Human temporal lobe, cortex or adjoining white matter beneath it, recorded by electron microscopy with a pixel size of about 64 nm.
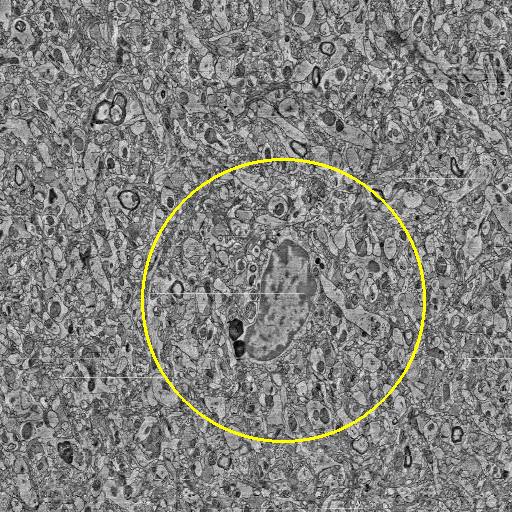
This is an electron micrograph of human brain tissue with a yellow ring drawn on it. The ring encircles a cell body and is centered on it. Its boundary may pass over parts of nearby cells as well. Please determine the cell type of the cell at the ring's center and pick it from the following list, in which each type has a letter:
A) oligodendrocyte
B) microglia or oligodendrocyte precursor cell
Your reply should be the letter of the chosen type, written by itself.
B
